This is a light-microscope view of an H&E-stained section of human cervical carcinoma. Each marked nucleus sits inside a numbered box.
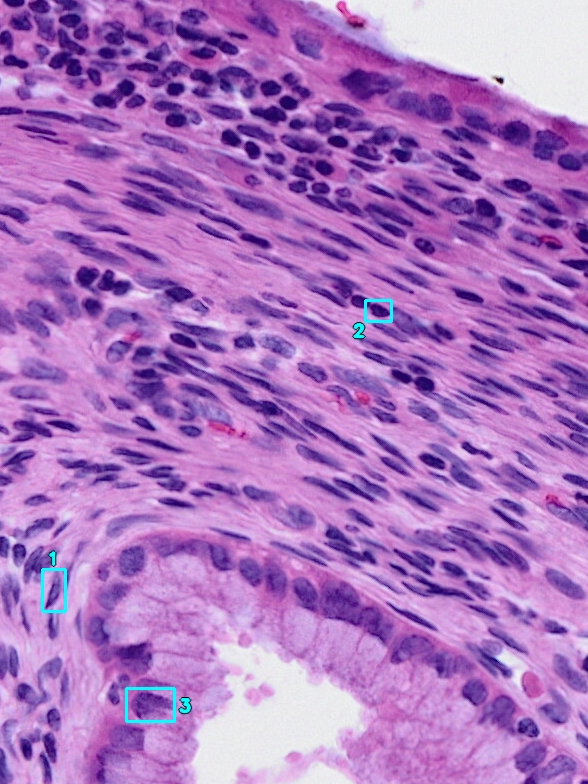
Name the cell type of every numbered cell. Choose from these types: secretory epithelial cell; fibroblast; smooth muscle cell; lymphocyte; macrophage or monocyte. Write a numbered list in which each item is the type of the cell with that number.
1. fibroblast
2. lymphocyte
3. secretory epithelial cell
